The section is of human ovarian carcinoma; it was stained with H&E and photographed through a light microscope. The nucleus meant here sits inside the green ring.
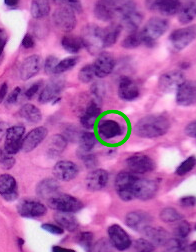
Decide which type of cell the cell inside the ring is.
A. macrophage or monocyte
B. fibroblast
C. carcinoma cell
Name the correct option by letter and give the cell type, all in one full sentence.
It is correct to say that the cell inside the ring is a carcinoma cell, as option C does.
